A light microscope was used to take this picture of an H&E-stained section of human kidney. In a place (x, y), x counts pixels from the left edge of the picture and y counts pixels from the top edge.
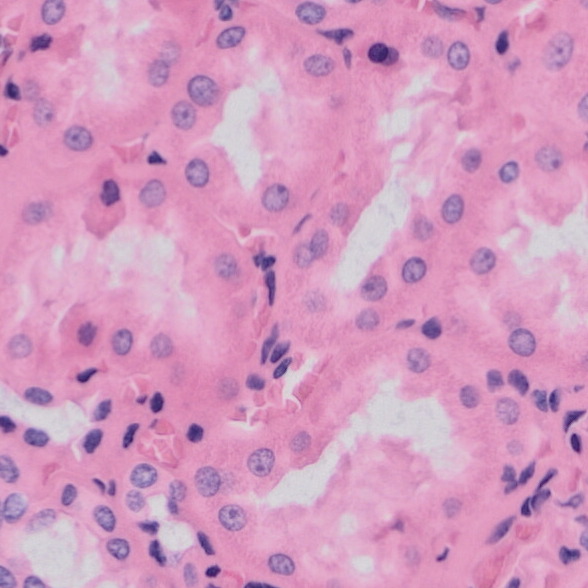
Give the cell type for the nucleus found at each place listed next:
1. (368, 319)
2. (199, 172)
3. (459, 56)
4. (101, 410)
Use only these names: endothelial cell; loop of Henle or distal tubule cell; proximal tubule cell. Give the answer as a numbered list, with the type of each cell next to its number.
1. proximal tubule cell
2. proximal tubule cell
3. proximal tubule cell
4. loop of Henle or distal tubule cell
